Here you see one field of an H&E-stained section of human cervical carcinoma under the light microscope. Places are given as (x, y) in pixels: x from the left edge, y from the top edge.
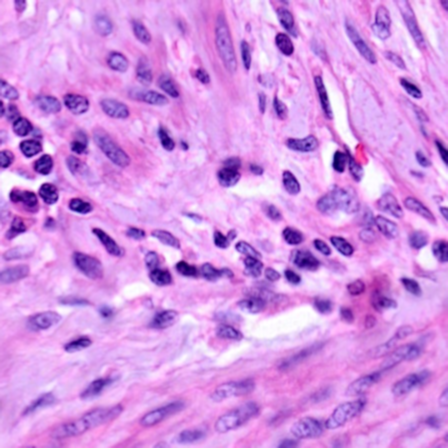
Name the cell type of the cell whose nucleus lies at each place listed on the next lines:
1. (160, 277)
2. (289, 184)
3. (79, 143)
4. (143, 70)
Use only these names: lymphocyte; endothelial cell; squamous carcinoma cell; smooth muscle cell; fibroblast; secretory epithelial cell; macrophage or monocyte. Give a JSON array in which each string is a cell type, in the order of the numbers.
["lymphocyte", "lymphocyte", "lymphocyte", "smooth muscle cell"]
